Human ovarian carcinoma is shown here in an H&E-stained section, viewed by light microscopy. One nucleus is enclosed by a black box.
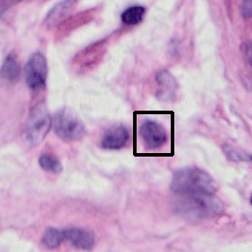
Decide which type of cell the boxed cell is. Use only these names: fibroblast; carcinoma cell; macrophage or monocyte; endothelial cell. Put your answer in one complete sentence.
It is a macrophage or monocyte that the boxed cell represents.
